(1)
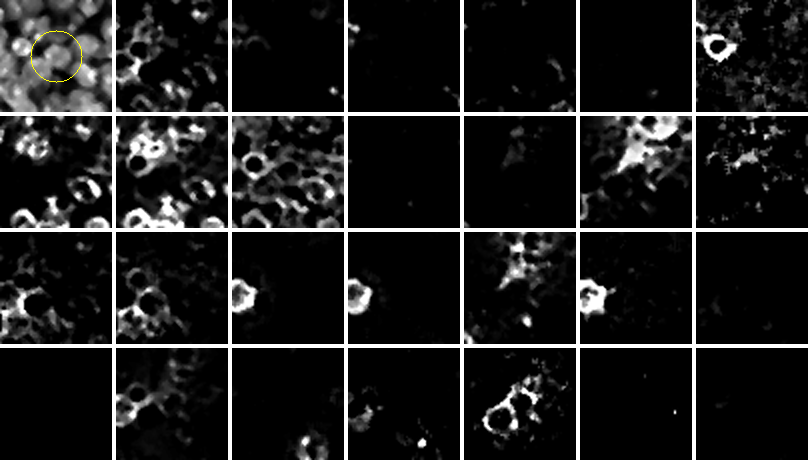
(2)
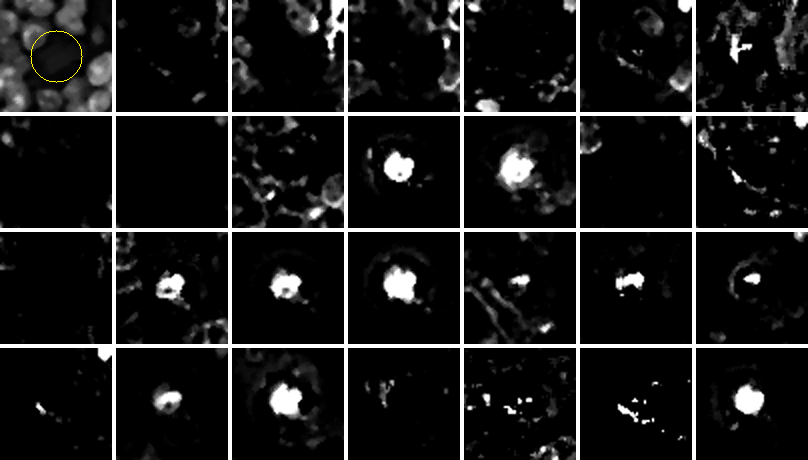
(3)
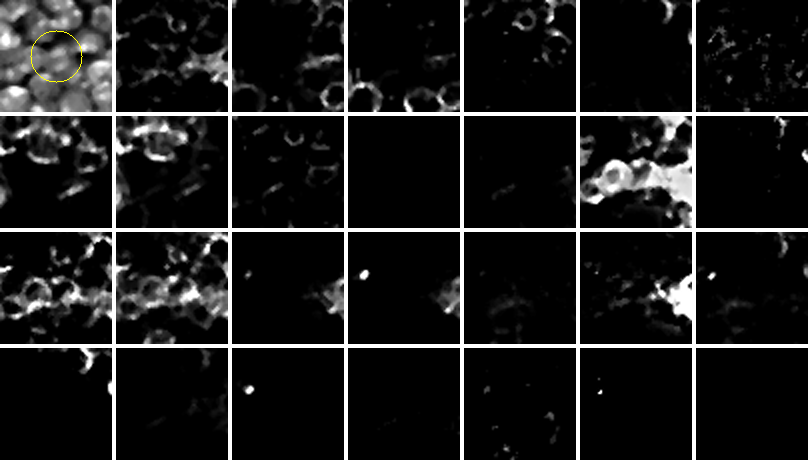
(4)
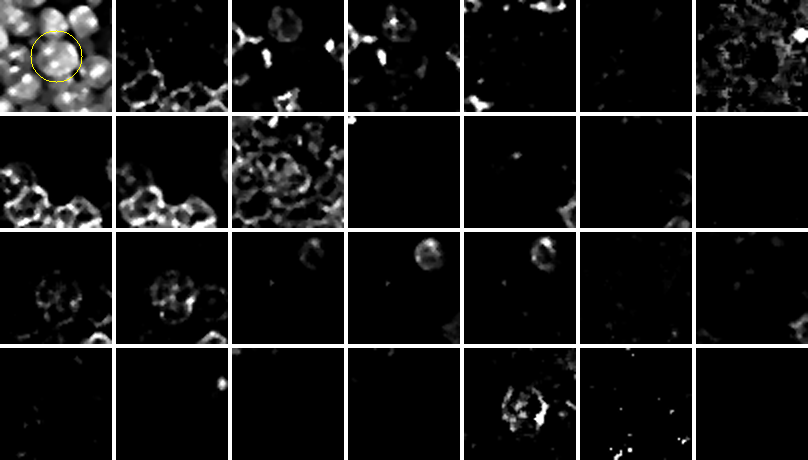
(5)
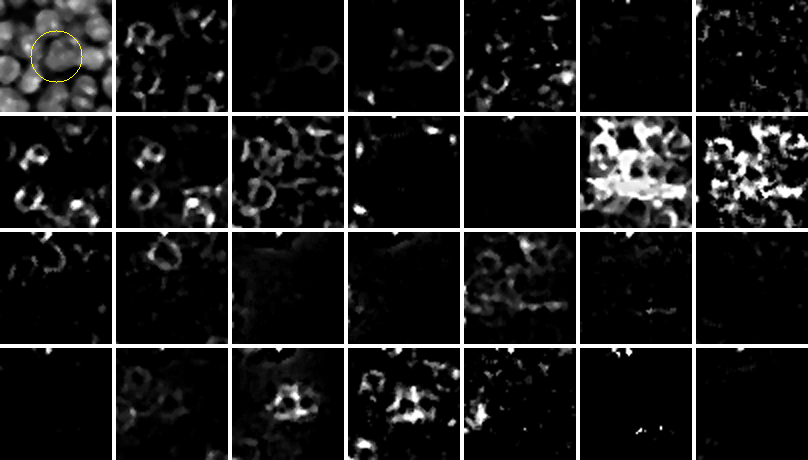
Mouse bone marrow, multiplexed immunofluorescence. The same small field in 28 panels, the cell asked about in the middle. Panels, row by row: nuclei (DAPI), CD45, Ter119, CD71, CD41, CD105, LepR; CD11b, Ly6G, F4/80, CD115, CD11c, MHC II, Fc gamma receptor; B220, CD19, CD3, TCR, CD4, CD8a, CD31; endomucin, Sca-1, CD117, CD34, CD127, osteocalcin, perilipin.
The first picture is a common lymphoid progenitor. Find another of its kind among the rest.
Picture 4.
